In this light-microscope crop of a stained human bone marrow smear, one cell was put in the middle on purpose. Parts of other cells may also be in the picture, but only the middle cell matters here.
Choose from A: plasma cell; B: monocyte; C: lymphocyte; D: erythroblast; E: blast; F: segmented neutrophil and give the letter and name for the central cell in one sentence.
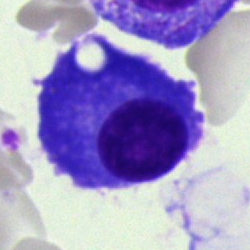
Answer key: option A, the middle cell being a plasma cell.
